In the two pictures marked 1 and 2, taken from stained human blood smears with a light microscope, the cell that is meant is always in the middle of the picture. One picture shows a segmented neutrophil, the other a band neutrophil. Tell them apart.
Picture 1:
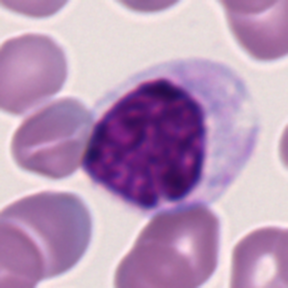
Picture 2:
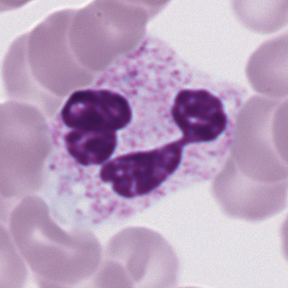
1: band neutrophil
2: segmented neutrophil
